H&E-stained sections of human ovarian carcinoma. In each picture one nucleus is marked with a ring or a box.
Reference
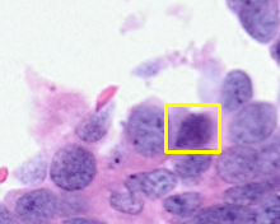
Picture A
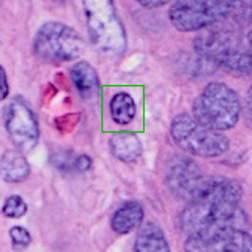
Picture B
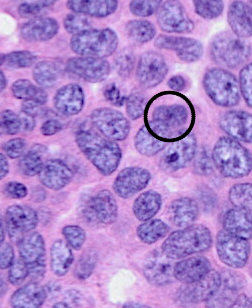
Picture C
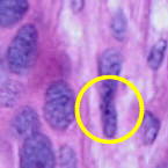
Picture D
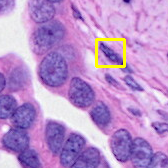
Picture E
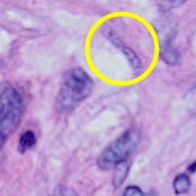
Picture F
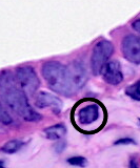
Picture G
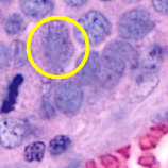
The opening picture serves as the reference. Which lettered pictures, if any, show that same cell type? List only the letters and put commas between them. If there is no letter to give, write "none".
B, G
